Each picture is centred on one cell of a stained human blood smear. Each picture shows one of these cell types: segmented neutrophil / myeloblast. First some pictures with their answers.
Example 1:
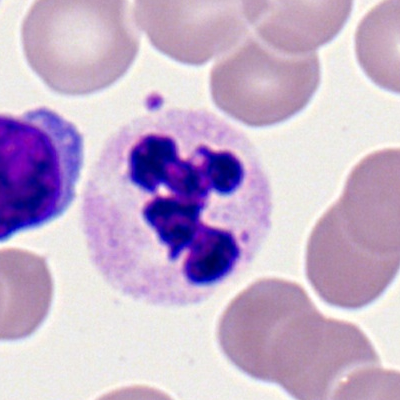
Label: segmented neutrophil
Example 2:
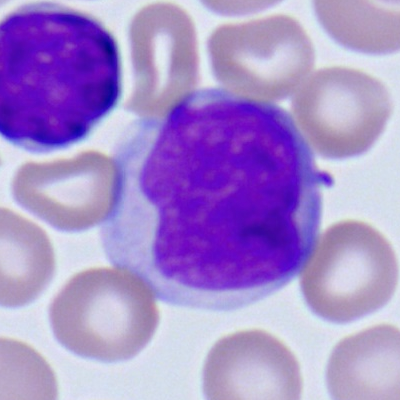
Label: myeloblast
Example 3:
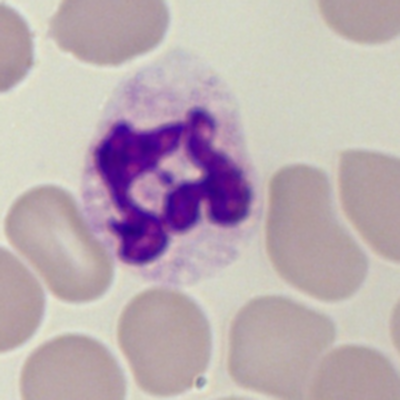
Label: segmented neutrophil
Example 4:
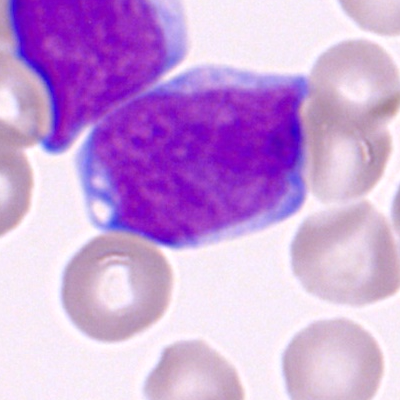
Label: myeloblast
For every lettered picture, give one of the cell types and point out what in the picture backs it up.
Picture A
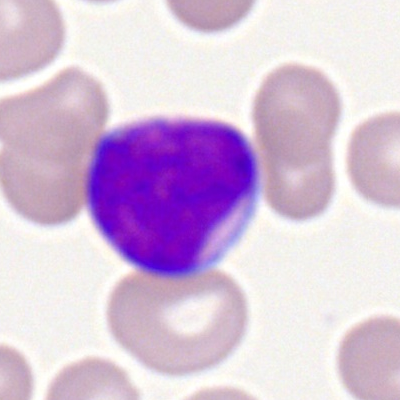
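myeloblast. Evidence: Only a thin crescent of pale bluish cytoplasm shows, at the lower right edge of the cell.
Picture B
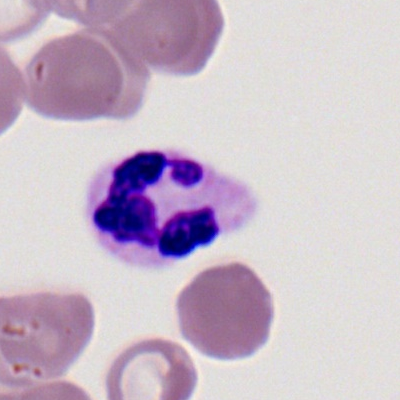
segmented neutrophil. Evidence: The cytoplasm is pale pink and fills the space within the open side of the C.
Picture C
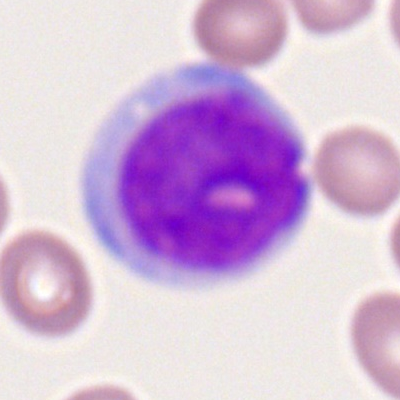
myeloblast. Evidence: The cytoplasm is a narrow rim that is wider on the left side than on the right.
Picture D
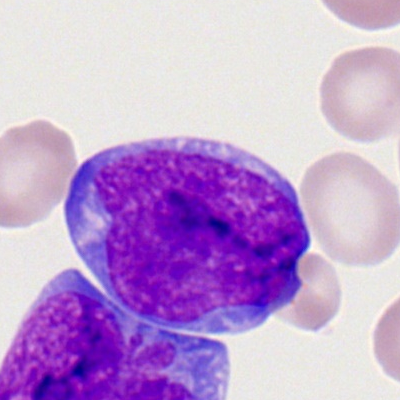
myeloblast. Evidence: The cytoplasm is a narrow blue rim around the nucleus.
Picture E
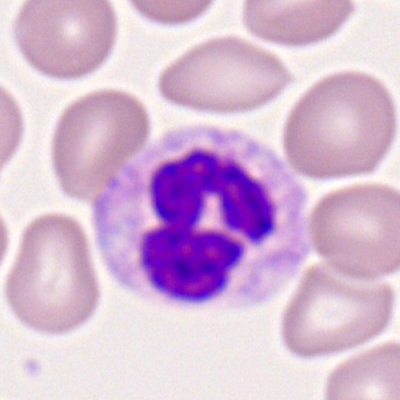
segmented neutrophil. Evidence: The nucleus is divided into three lobes.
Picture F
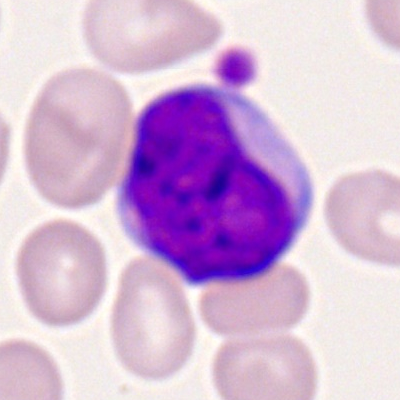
myeloblast. Evidence: The cytoplasm is scant and pale blue.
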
